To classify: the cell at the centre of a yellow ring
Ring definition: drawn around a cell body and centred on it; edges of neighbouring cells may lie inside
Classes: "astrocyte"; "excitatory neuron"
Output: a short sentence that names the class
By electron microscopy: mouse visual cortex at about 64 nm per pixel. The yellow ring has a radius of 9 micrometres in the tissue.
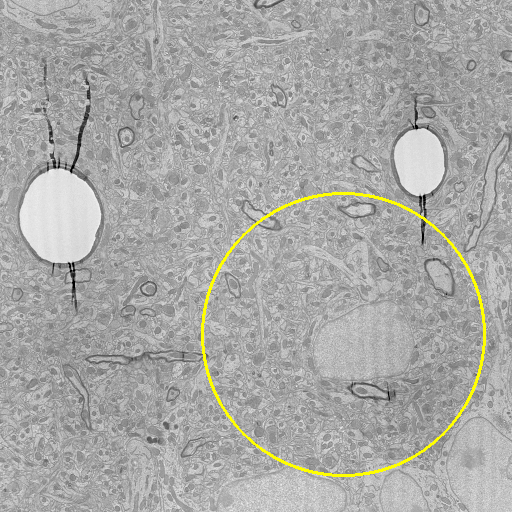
The ringed cell is an astrocyte.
